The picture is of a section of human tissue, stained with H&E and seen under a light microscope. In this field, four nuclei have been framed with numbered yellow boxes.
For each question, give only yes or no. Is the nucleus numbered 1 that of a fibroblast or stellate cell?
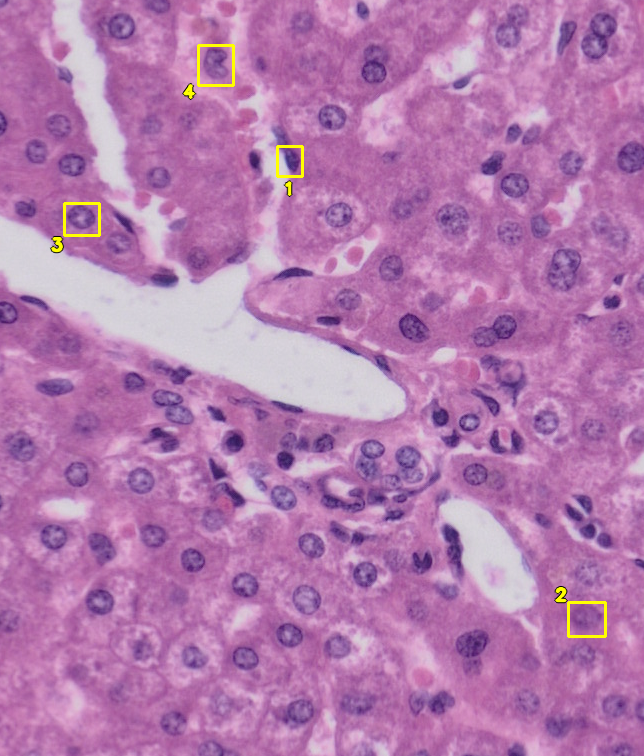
yes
